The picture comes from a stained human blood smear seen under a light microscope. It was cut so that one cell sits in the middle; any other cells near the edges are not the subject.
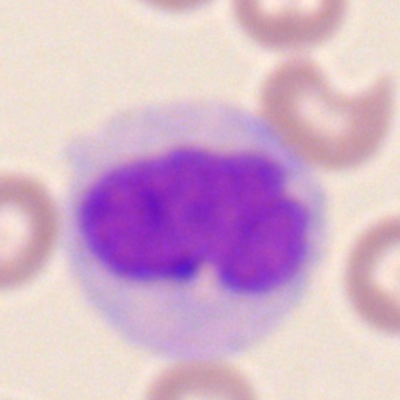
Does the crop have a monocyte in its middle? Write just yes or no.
yes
